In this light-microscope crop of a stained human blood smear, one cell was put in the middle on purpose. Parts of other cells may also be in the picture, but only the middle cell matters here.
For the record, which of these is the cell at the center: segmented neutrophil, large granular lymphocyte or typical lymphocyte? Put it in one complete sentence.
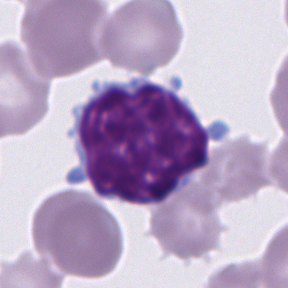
In the centre of this crop there is a typical lymphocyte.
